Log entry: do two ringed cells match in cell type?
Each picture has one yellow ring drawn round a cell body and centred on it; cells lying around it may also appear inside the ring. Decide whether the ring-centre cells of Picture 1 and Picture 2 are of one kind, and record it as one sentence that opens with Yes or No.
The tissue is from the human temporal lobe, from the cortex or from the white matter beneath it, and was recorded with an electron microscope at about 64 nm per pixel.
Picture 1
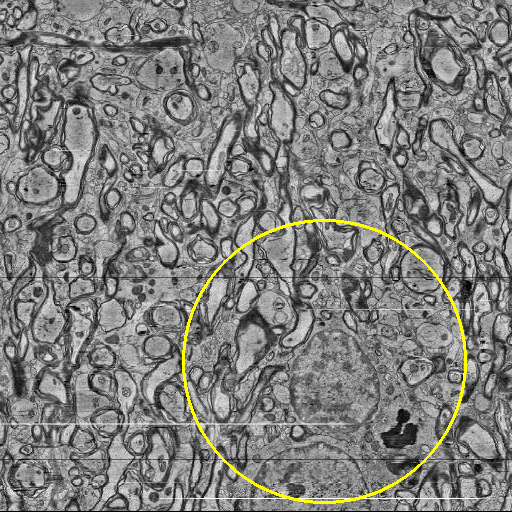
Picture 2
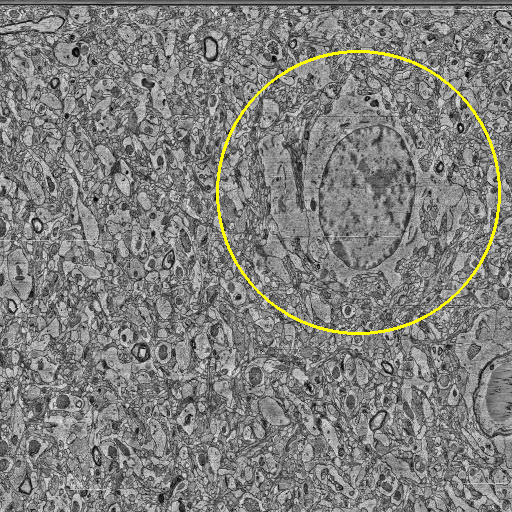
No, the cells at the ring centres of the two pictures belong to two kinds.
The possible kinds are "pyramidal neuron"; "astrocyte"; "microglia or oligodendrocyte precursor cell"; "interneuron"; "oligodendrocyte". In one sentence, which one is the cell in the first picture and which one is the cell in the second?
The cell ringed in the second picture is an astrocyte, whereas the one ringed in the first is an oligodendrocyte.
